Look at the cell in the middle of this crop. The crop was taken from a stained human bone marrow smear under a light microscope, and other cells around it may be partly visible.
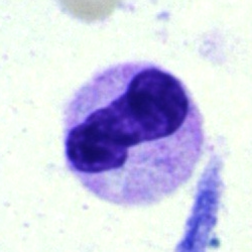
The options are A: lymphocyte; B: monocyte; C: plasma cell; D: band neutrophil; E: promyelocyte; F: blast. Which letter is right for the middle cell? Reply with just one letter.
D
